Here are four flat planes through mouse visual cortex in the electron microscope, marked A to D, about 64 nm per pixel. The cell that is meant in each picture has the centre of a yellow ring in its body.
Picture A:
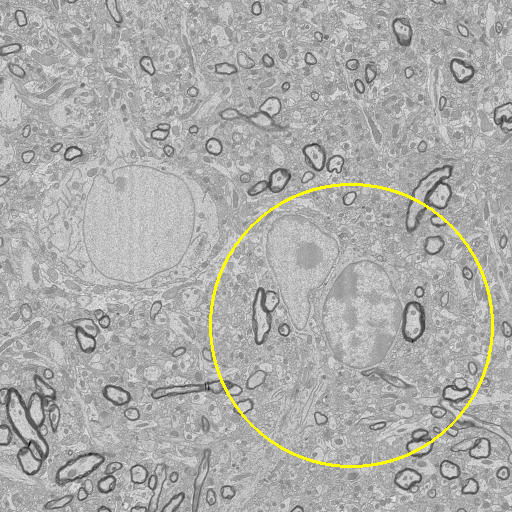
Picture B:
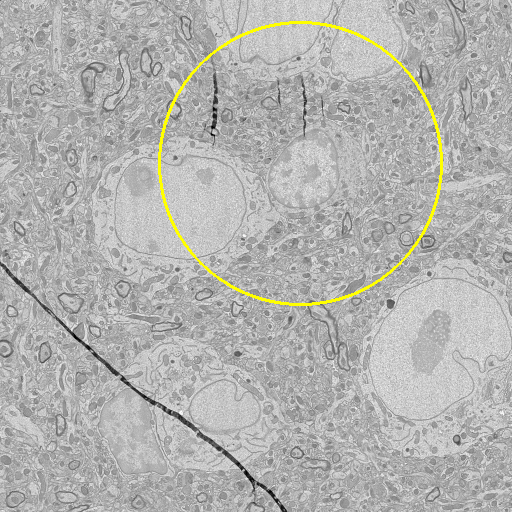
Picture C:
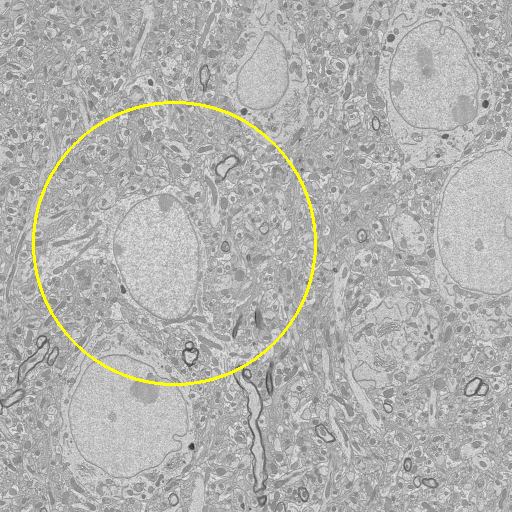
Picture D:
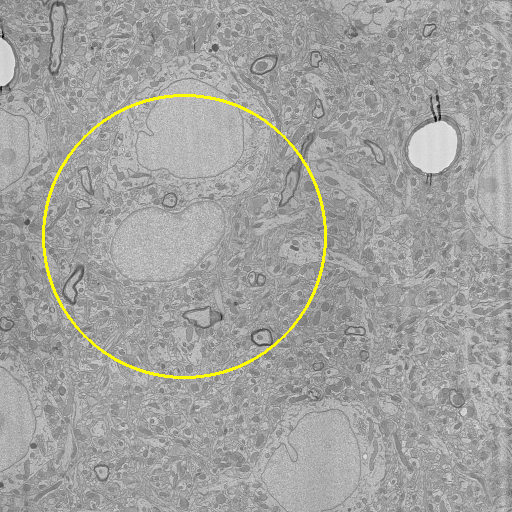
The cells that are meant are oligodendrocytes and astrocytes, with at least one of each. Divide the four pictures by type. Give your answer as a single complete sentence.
Pictures A and B show oligodendrocytes; pictures C and D show astrocytes.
